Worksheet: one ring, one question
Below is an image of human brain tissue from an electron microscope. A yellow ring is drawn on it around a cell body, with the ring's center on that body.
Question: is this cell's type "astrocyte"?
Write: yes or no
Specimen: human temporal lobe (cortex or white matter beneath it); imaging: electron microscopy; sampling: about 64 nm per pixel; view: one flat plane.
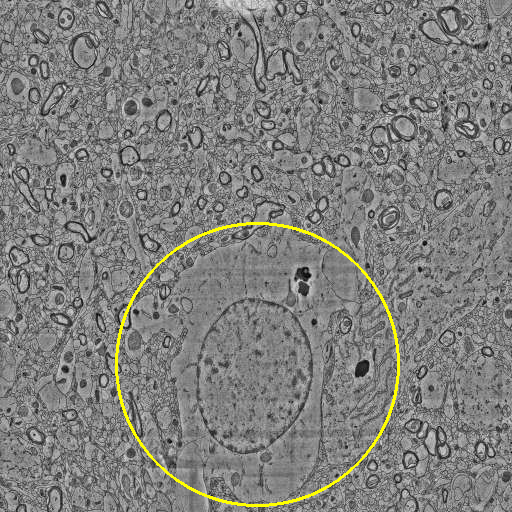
yes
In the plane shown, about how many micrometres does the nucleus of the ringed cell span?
About 10 by 7 micrometers, in this plane.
